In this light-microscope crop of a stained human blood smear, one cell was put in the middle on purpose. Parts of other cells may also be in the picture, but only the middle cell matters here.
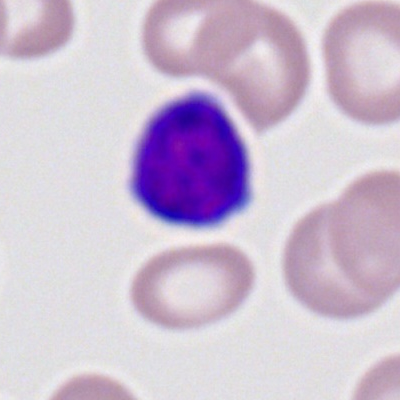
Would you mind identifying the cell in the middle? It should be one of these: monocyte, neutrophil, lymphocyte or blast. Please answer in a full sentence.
The centrally placed cell is classified as a lymphocyte.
